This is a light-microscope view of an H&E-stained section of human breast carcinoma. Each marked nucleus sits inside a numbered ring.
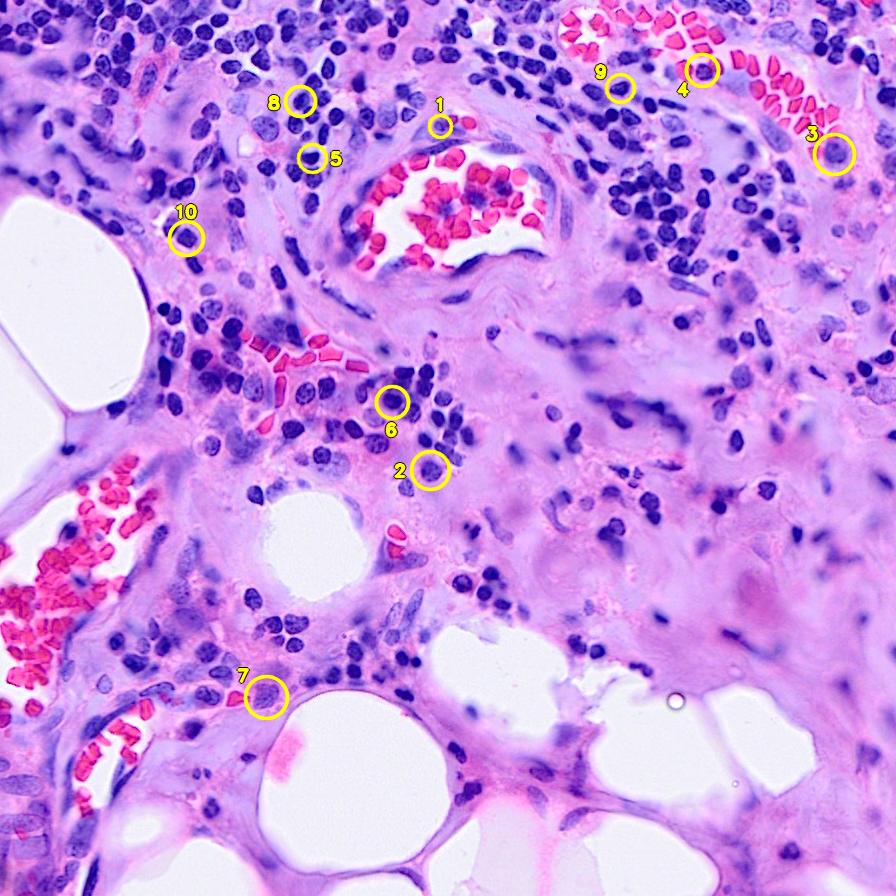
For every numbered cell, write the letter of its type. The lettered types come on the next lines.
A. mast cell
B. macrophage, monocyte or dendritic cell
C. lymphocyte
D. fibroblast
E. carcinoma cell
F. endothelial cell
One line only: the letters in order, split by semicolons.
F; C; F; F; C; C; F; C; C; C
